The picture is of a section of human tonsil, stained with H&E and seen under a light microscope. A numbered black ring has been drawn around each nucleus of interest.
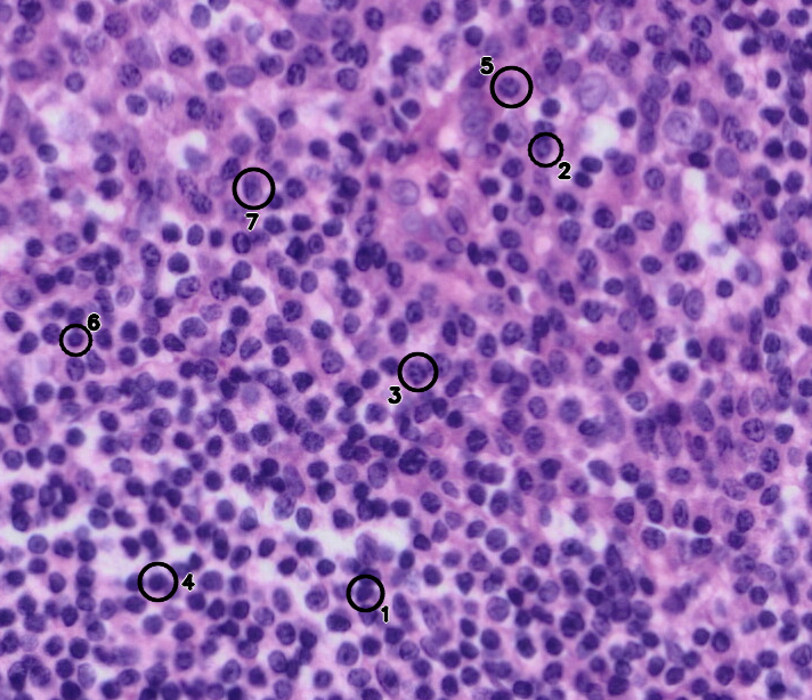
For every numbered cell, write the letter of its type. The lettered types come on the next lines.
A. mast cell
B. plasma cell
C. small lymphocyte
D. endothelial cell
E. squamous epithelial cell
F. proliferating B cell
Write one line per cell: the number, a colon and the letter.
1: C
2: B
3: B
4: C
5: B
6: C
7: B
